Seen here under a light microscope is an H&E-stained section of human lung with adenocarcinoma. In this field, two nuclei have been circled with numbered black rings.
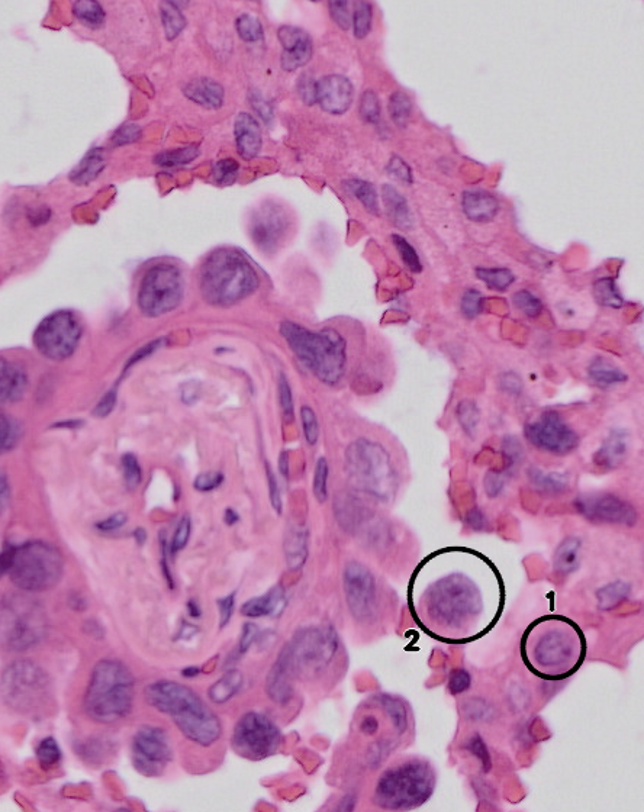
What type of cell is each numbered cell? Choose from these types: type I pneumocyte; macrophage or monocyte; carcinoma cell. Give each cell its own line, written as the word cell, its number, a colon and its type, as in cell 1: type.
cell 1: macrophage or monocyte
cell 2: carcinoma cell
